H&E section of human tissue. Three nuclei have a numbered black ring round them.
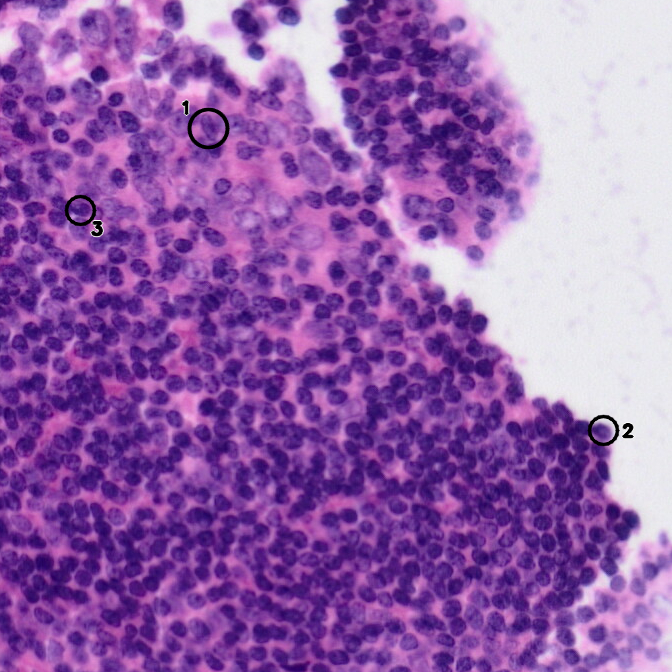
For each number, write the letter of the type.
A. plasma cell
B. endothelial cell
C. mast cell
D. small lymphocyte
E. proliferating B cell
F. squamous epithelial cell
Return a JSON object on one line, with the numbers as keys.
{"1": "E", "2": "D", "3": "D"}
